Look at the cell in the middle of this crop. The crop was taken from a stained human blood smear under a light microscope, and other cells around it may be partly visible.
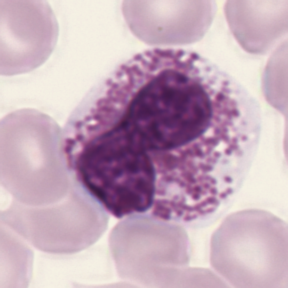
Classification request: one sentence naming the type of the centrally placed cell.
The target cell in the middle of the crop is an eosinophil.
